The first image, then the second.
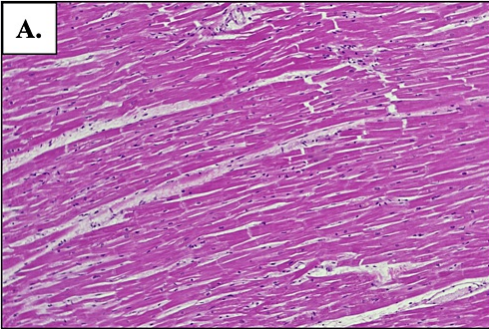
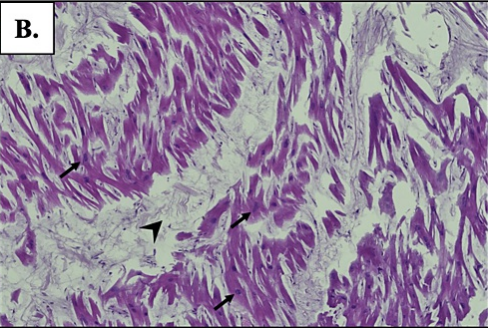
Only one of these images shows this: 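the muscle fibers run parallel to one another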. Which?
the first image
